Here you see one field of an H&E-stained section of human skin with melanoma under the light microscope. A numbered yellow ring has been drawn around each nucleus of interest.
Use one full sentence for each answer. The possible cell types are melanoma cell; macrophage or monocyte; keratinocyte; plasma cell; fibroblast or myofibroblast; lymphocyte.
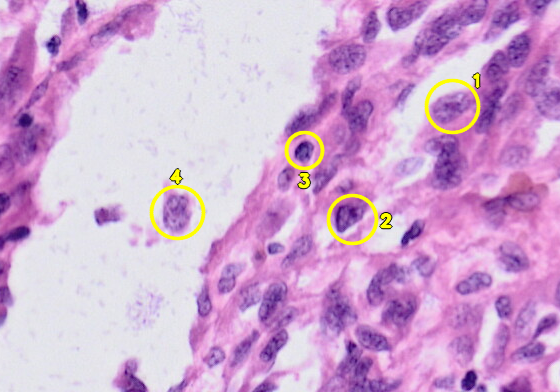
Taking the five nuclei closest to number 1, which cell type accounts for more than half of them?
Melanoma cells make up most of the five nuclei closest to number 1.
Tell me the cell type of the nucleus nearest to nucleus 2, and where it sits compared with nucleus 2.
The closest nucleus belongs to a macrophage or monocyte and sits above nucleus 2.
